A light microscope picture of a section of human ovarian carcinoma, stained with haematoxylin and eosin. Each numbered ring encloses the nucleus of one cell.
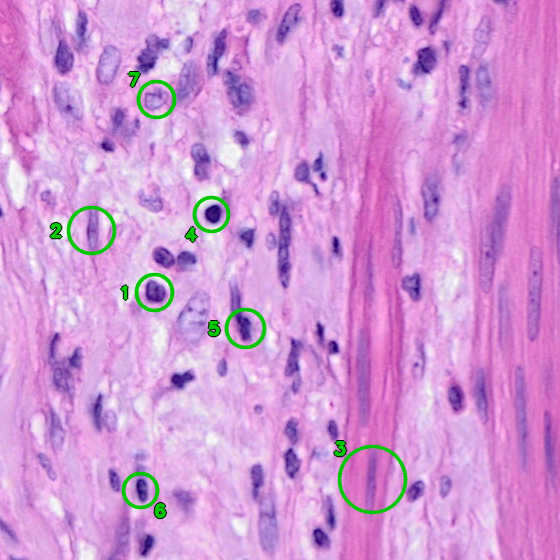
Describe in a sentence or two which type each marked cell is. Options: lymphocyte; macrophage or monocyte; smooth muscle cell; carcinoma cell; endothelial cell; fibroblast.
Cell 1 is a lymphocyte, cell 2 is a fibroblast, cell 3 is a smooth muscle cell, cell 4 is a lymphocyte, cell 5 is a lymphocyte, cell 6 is a lymphocyte and cell 7 is a macrophage or monocyte.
